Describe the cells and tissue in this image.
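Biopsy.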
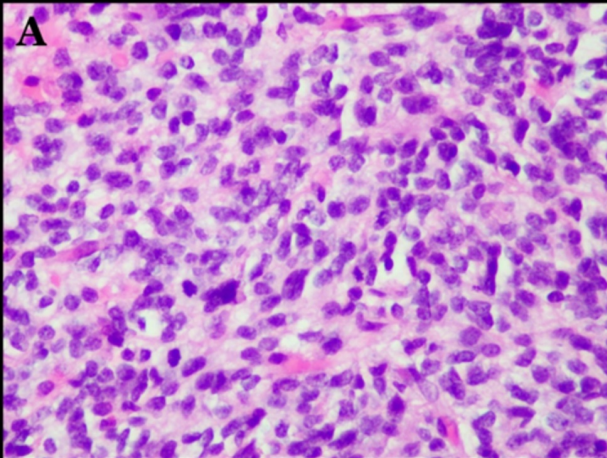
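Here the tissue is marked by hypercellularity, packed with small round undifferentiated cells with purple nuclei and little pale cytoplasm. The nuclei differ in size and shape, from round to oval and angular, and some are much darker than others. Slender pink streaks run between the cells, small vessels among the crowded tumour cells.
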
